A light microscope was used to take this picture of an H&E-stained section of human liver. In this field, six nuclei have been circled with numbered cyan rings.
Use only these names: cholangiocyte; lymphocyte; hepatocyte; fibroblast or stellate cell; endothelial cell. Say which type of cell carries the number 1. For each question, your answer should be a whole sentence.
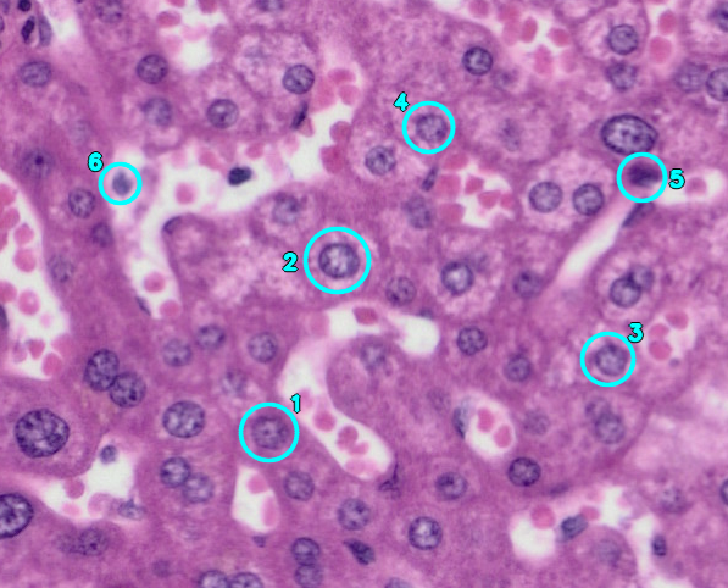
The nucleus labeled 1 belongs to a hepatocyte.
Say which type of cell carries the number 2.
In the tissue shown, cell 2 is a hepatocyte.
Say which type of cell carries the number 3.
That cell with number 3 is a hepatocyte.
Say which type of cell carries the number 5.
It is as a fibroblast or stellate cell that the cell numbered 5 is identified.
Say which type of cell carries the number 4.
Cell 4 is classified as a hepatocyte.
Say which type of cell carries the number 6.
The numbered cell 6 is identified here as a lymphocyte.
